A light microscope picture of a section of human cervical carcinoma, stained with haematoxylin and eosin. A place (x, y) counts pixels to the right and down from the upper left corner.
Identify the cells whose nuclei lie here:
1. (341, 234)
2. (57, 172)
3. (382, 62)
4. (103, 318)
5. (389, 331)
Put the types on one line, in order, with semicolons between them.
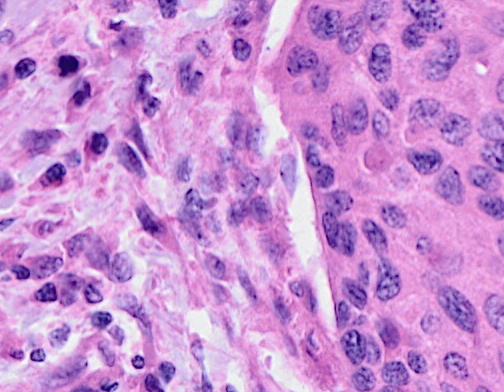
squamous carcinoma cell; lymphocyte; squamous carcinoma cell; lymphocyte; squamous carcinoma cell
